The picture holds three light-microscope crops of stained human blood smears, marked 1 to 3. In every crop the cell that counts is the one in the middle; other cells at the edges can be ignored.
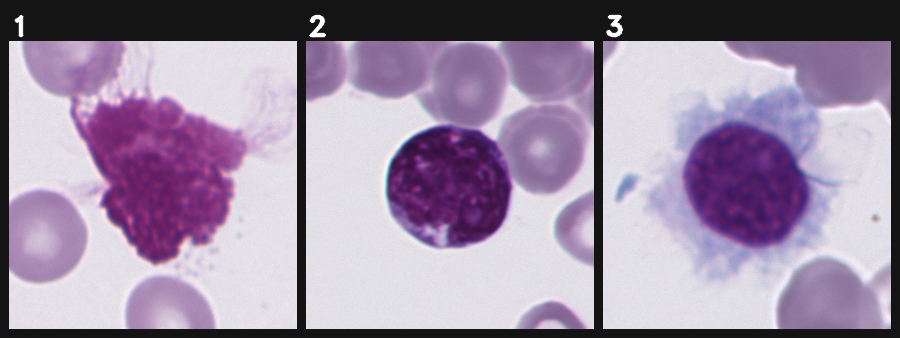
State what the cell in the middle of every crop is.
1: smudge cell
2: myeloblast
3: hairy cell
